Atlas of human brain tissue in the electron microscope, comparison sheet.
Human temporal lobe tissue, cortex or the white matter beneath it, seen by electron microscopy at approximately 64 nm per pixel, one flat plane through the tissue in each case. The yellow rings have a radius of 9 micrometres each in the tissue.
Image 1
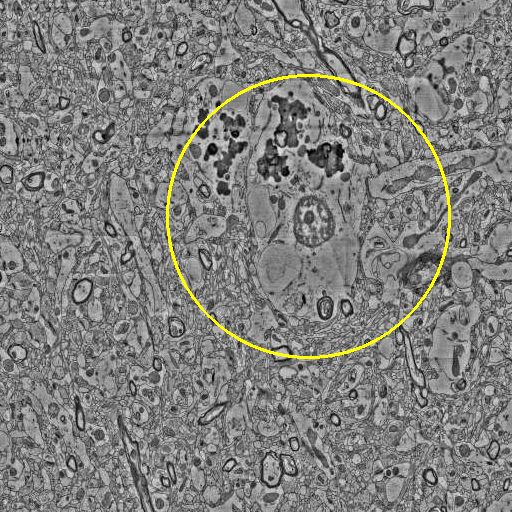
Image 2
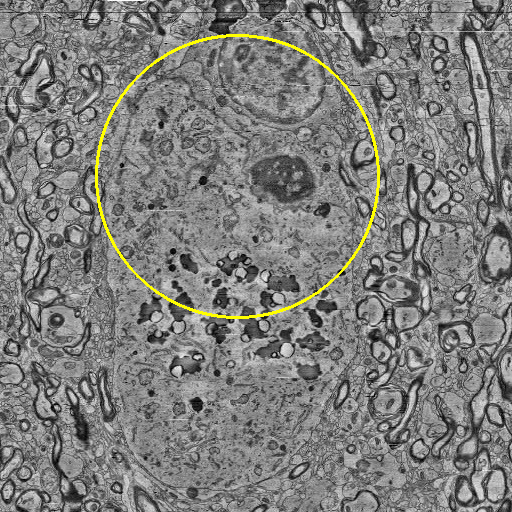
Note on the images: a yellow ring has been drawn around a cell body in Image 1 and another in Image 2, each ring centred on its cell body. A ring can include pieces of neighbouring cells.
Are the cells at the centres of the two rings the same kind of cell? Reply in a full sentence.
No, the two cells are of two kinds.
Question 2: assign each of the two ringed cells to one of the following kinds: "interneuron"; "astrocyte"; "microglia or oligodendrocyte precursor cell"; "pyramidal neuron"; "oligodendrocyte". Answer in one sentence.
The two cells are an astrocyte in the first picture and a microglial cell or oligodendrocyte precursor cell in the second.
